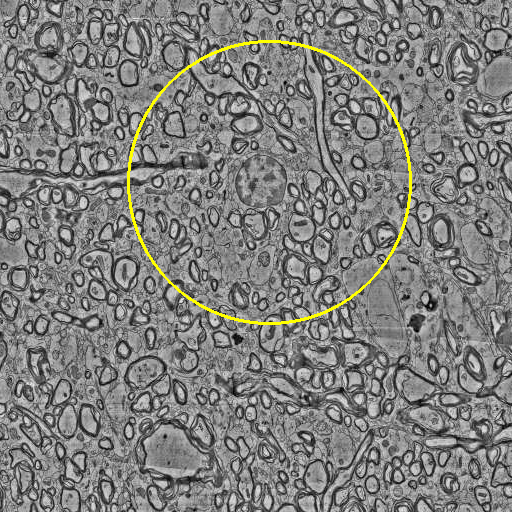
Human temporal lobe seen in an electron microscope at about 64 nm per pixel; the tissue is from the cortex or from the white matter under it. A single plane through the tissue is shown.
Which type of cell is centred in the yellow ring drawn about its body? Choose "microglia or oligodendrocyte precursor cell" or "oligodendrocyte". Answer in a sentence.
The yellow ring surrounds the cell body of a microglial cell or oligodendrocyte precursor cell.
